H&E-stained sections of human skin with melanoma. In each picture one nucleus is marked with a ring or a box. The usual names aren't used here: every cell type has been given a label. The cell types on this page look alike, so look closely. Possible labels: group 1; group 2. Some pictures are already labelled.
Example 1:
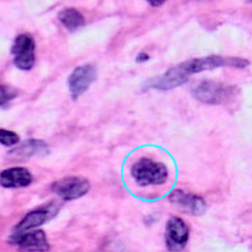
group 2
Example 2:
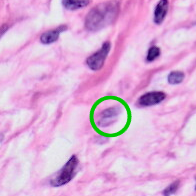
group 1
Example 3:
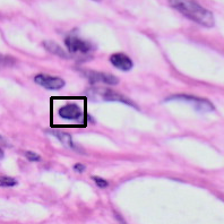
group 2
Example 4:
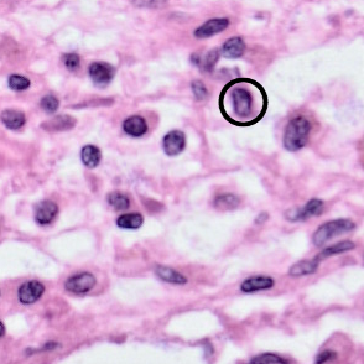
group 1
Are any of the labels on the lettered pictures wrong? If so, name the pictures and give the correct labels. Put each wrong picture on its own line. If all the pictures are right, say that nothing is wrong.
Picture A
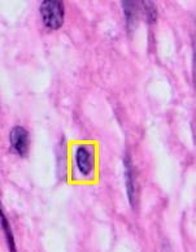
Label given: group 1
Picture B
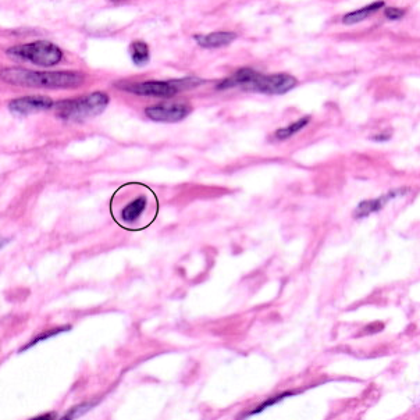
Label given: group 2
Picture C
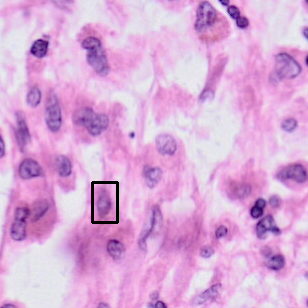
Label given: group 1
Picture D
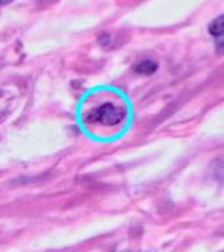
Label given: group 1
A should be group 2, not group 1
